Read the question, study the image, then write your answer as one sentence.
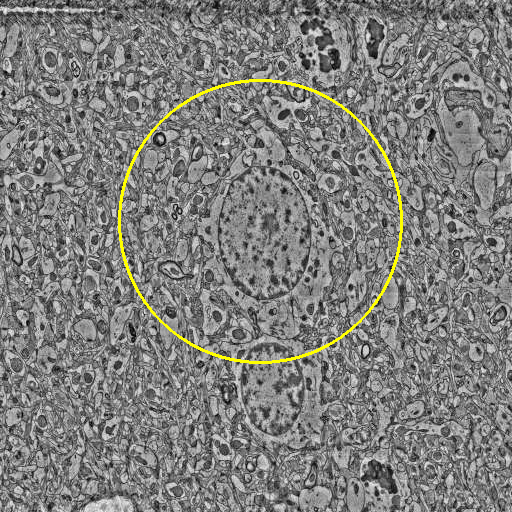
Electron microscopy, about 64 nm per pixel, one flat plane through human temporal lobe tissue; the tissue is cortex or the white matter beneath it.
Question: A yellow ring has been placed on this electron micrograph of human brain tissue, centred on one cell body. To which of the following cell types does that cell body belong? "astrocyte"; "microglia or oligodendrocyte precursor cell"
That cell body belongs to an astrocyte.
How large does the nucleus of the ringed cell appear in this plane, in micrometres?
Roughly 9 by 6 micrometres is the size of the nucleus in this plane.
